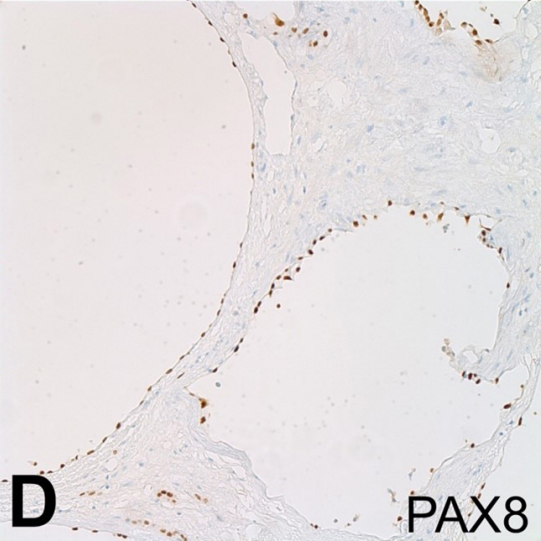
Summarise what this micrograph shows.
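Here the flattened epithelium lining cyst spaces stands out by its brown nuclear stain. The stained nuclei form a thin, single, discontinuous row along the edges of the empty cyst lumens. The septa between the cysts are loose, pale stroma whose nuclei remain unstained blue-grey.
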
